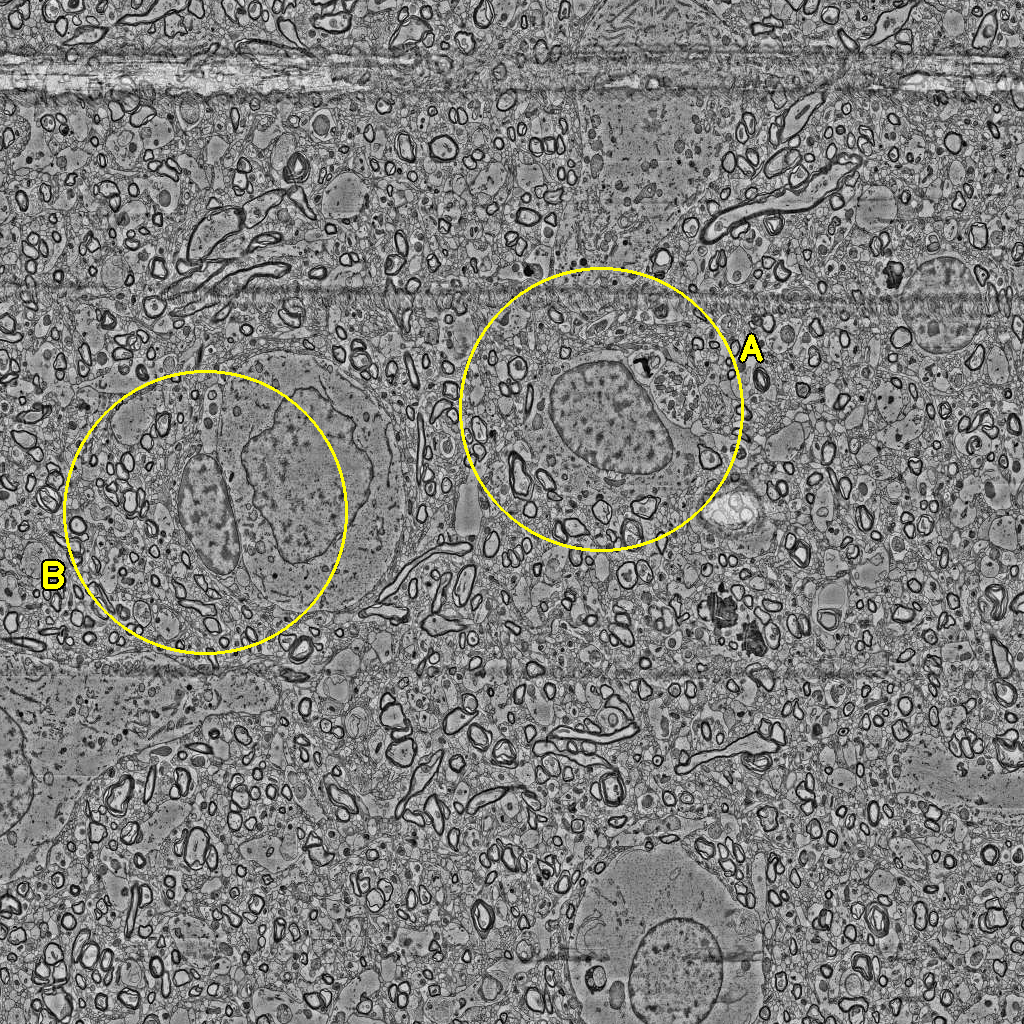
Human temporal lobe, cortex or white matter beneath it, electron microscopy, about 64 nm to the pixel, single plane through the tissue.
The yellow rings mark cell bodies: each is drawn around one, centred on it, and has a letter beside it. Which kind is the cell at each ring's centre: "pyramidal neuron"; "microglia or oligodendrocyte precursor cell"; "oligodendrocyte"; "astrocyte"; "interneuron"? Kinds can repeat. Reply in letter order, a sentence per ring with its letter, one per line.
At the centre of ring A lies an oligodendrocyte.
At the centre of ring B lies a microglial cell or oligodendrocyte precursor cell.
